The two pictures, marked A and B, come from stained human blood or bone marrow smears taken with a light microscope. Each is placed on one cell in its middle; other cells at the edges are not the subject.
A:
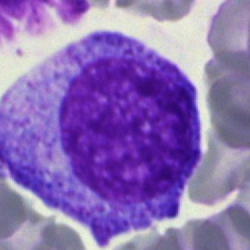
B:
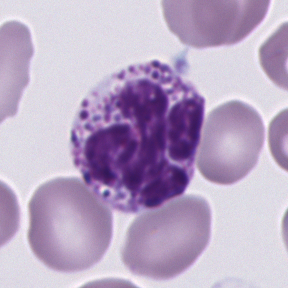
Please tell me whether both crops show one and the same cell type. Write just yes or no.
no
